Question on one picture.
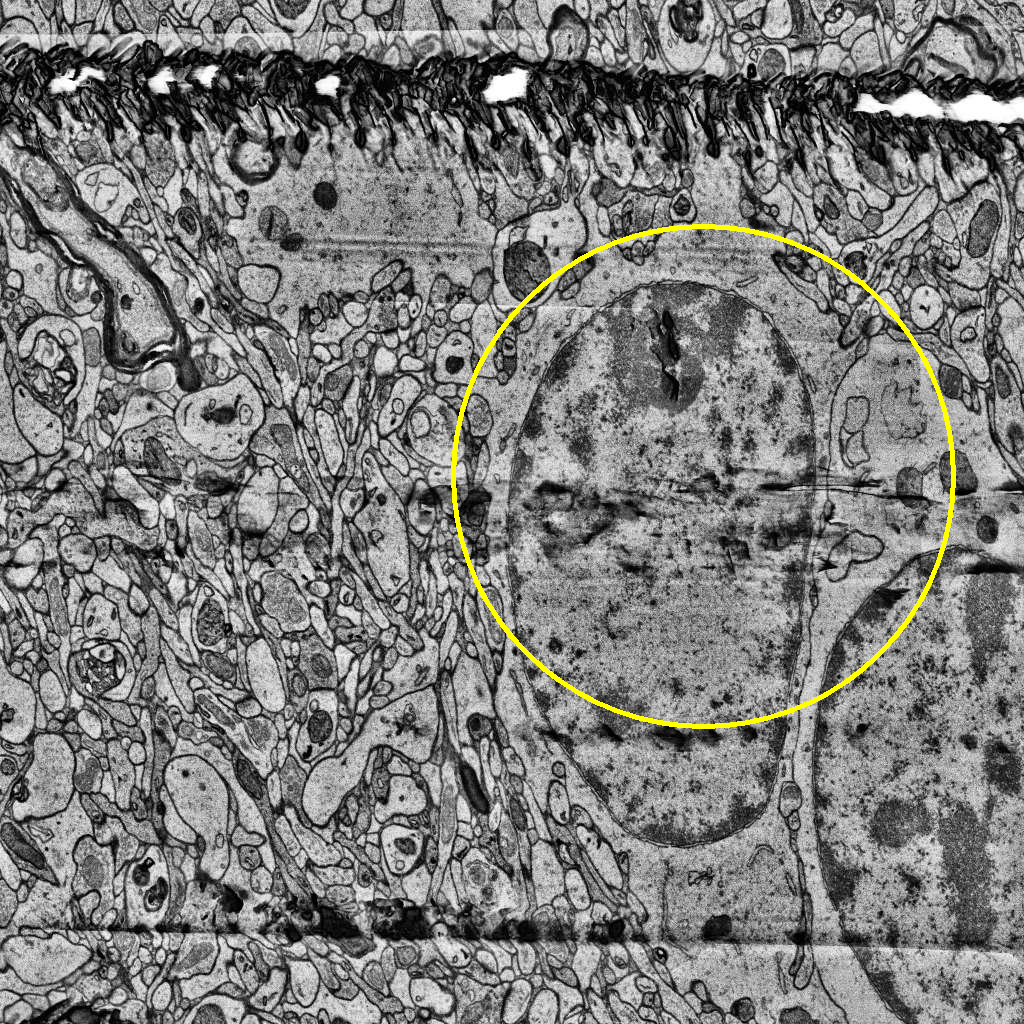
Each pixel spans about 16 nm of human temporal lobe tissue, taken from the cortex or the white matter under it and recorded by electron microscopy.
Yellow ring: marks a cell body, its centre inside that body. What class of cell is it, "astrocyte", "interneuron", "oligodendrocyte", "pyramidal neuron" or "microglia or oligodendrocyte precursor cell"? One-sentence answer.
This is an astrocyte, the cell at the ring's centre.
